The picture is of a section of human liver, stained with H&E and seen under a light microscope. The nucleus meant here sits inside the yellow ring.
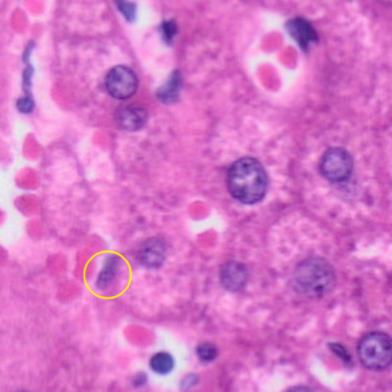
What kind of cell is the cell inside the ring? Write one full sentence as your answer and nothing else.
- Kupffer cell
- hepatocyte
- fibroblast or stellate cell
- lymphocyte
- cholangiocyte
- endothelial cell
As a matter of cell type, the cell inside the ring is an endothelial cell.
